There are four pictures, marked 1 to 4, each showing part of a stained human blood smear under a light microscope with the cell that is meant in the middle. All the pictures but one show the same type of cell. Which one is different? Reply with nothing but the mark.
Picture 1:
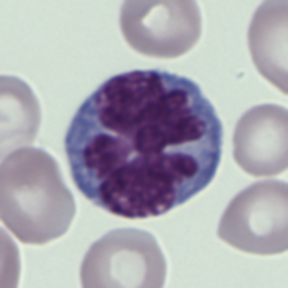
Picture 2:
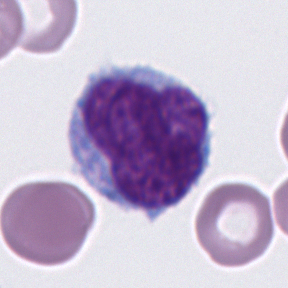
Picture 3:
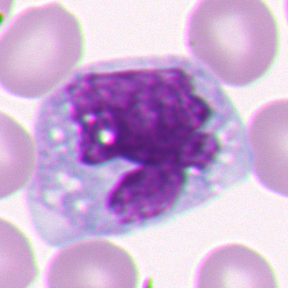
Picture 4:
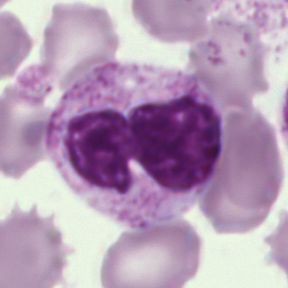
4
